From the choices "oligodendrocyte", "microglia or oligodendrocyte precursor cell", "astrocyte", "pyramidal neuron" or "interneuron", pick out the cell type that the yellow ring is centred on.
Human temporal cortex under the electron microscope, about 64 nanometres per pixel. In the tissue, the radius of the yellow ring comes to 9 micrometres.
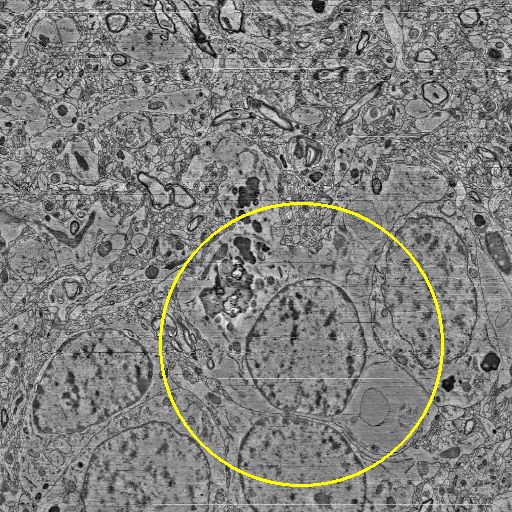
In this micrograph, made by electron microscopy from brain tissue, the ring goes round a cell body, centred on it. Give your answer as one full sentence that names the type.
The yellow ring is centred on an astrocyte, whose cell body it encircles in the picture.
